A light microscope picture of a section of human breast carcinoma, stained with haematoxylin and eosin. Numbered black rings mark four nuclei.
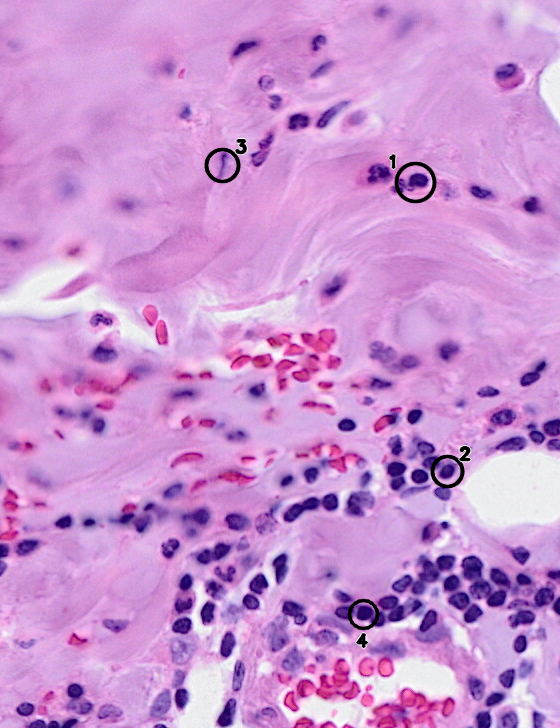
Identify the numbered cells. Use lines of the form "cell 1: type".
cell 1: lymphocyte
cell 2: lymphocyte
cell 3: fibroblast
cell 4: lymphocyte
